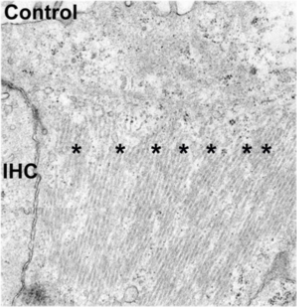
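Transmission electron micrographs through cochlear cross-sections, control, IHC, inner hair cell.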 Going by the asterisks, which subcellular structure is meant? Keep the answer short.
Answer: Bundles of microtubules.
